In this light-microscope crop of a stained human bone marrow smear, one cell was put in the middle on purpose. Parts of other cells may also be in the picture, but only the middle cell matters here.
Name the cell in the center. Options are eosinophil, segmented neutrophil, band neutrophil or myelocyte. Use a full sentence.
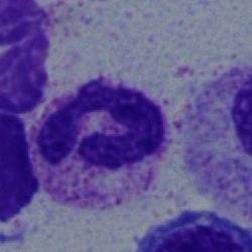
In the centre of this crop there is a segmented neutrophil.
